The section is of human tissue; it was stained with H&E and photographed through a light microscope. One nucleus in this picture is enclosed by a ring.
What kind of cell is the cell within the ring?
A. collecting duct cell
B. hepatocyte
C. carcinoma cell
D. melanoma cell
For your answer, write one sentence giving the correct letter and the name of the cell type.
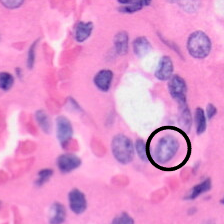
Option A holds, since the cell within the ring is a collecting duct cell.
